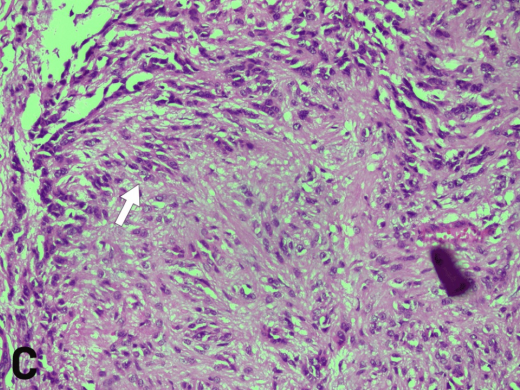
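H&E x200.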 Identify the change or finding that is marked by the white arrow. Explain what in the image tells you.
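Elongated dark nuclei lie side by side in parallel rows at the arrow. The rows of nuclei border paler pink fibrillary zones with few nuclei.
Answer: Nuclear palisading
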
